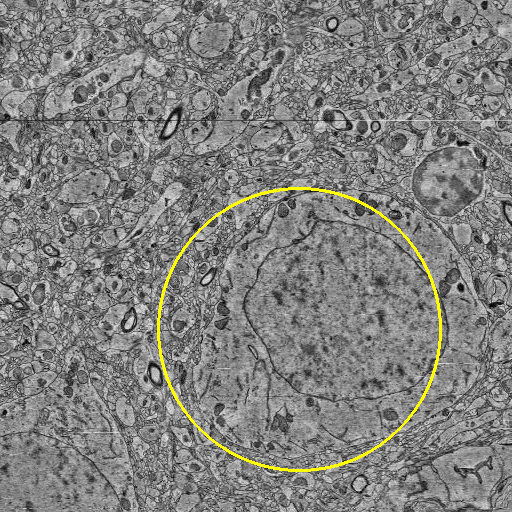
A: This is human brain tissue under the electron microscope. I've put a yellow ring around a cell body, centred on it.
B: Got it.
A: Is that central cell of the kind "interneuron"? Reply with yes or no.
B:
no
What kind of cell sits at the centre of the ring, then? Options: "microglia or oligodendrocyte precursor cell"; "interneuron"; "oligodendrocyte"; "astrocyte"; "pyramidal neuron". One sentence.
Instead, the cell at the centre of the ring is a pyramidal neuron.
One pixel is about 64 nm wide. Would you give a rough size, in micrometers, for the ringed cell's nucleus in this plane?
In this plane, the nucleus of the cell at the centre of the ring is about 12 micrometres across.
